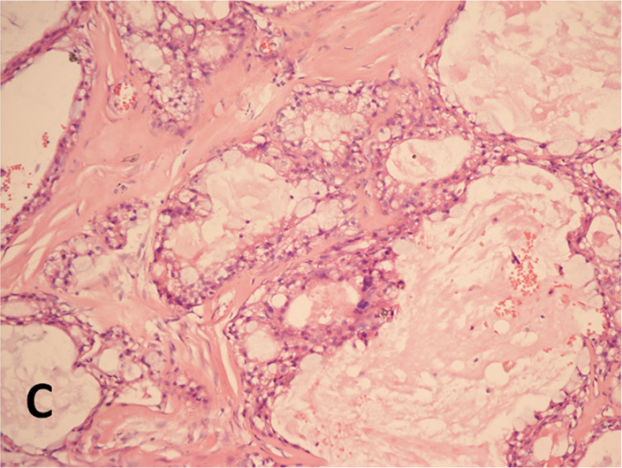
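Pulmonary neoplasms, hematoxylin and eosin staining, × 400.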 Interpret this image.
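Gland-like nests and cysts are filled with pale pink, wispy mucoid material, a few with red blood cells inside. The spaces are lined by rows of tumour cells, many of them with clear, vacuolated cytoplasm and small dark nuclei, and smaller round vacuoles dot the cell nests. Broad bands of dense pink collagenous stroma separate the tumour islands, which gives the tissue a lobulated, cystic architecture.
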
